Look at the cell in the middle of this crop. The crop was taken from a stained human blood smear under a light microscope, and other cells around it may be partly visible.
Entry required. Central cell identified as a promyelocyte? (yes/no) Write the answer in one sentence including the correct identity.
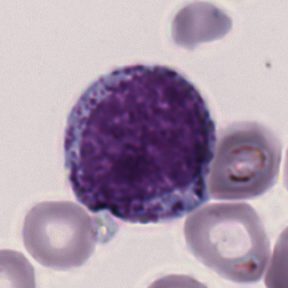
Yes, the crop is centred on a promyelocyte.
